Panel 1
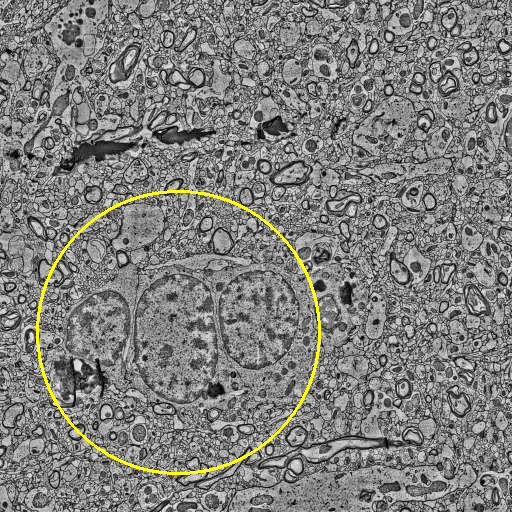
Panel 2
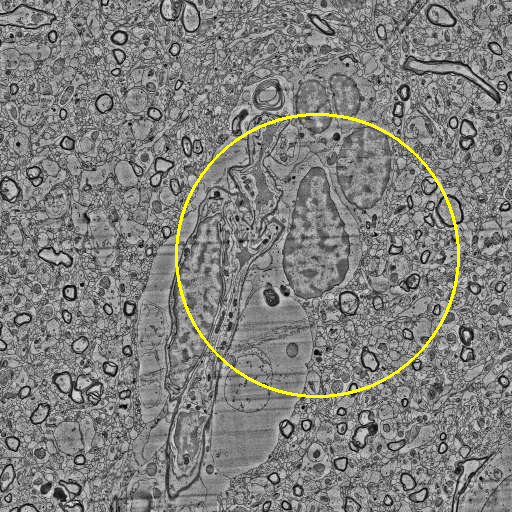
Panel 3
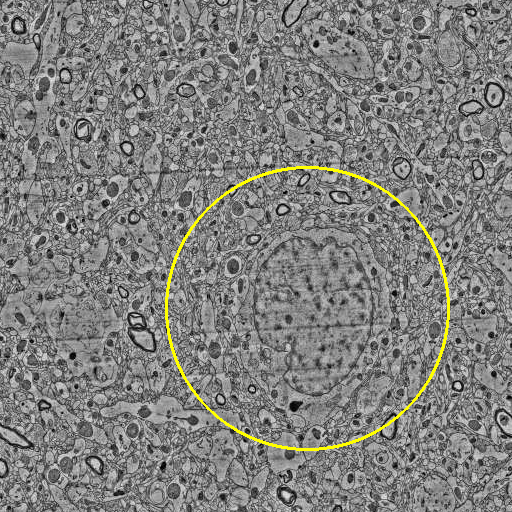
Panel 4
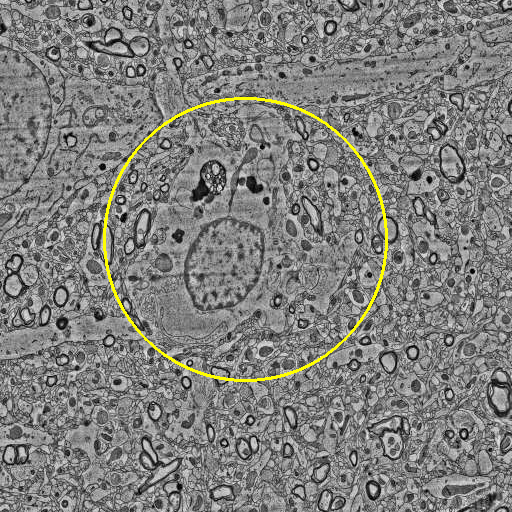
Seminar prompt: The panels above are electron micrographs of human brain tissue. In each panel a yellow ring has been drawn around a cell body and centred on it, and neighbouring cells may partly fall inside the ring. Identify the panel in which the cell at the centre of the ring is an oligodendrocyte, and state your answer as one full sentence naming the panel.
Panel 1 has it at the centre of its ring.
